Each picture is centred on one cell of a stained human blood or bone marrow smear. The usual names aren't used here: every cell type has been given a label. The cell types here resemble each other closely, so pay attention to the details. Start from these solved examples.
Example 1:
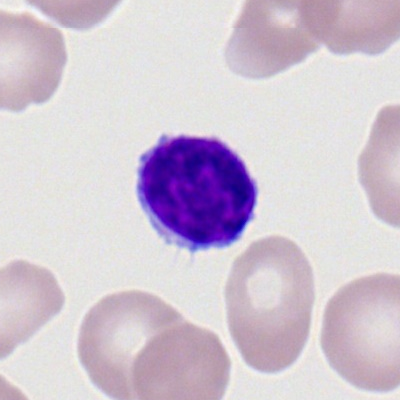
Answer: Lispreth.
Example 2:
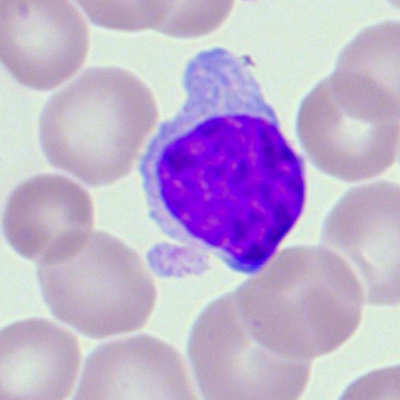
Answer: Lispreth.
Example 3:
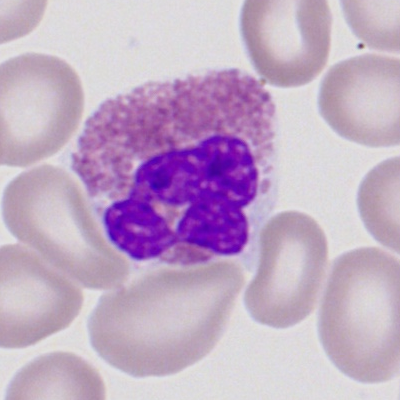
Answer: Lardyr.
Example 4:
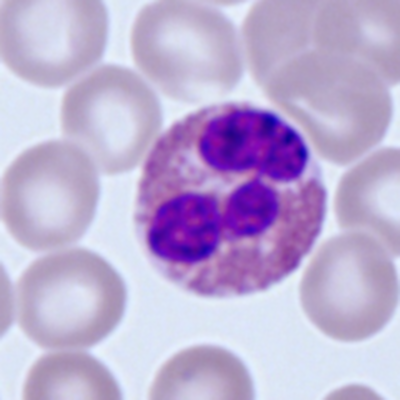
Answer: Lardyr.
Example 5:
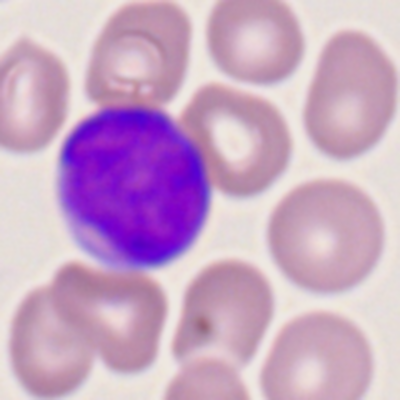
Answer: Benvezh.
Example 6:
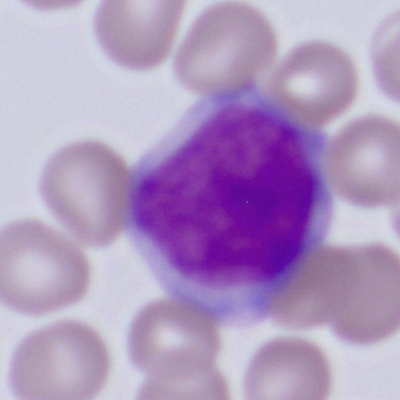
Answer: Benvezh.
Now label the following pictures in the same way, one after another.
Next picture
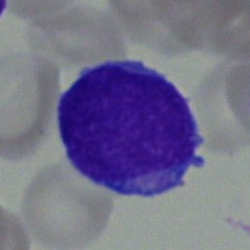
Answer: Benvezh.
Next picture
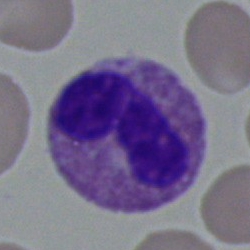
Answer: Lardyr.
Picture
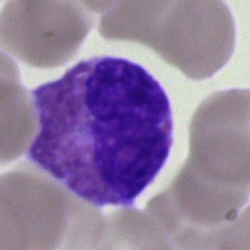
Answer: Lardyr.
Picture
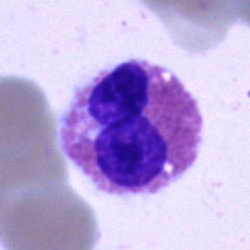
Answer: Lardyr.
